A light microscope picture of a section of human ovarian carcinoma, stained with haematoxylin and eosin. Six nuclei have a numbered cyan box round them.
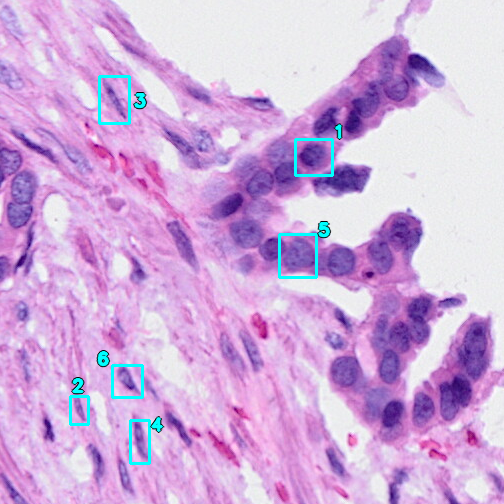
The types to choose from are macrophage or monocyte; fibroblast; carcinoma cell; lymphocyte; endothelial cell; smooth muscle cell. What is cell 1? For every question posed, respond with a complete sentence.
The cell marked with the number 1 is a carcinoma cell.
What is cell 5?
The expected answer is that cell 5 is a carcinoma cell.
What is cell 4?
The cell referred to as 4 is a fibroblast.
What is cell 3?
Heads up, the cell numbered 3 is a fibroblast.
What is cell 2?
In the tissue shown, cell 2 is a fibroblast.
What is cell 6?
At number 6, the marked cell is a fibroblast.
